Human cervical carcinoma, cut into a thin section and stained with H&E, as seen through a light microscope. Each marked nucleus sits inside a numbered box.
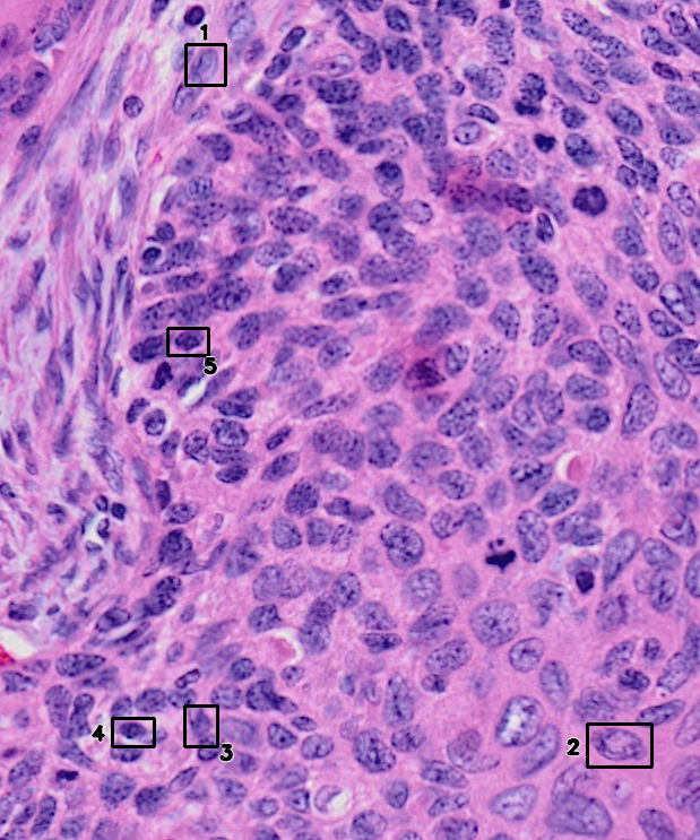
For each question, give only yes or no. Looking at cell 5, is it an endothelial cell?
no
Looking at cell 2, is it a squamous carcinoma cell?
yes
